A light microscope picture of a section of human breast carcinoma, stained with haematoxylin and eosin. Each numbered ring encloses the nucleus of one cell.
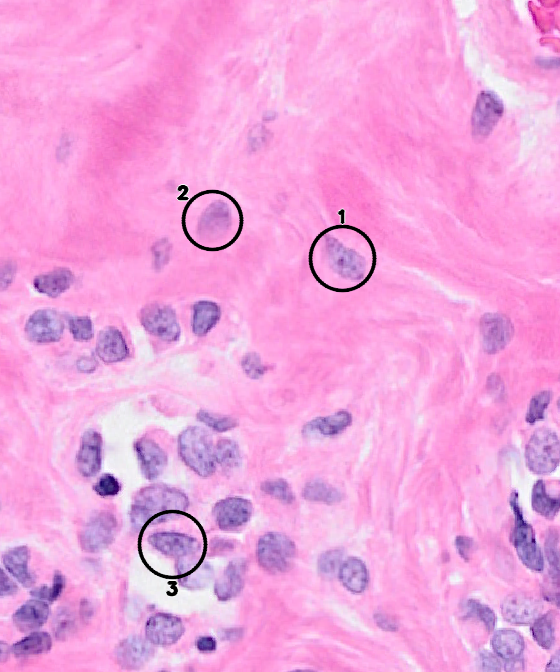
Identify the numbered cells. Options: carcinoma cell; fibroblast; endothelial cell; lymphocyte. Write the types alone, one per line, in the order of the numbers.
fibroblast
fibroblast
carcinoma cell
